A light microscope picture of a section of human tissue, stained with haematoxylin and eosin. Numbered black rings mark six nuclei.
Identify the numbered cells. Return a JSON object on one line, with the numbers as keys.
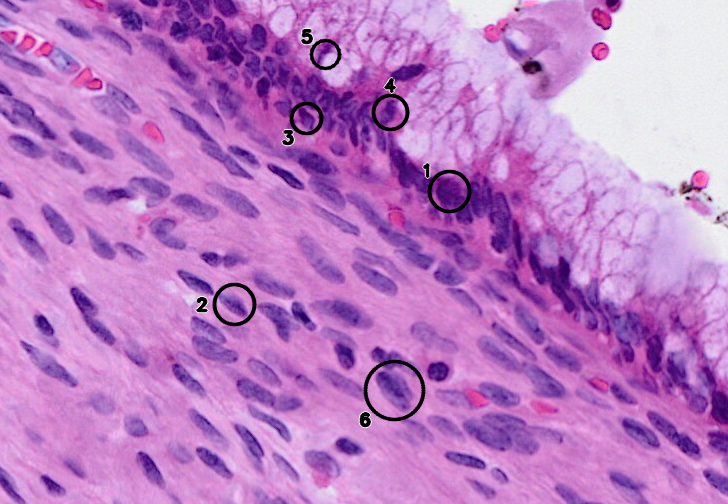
{"1": "secretory epithelial cell", "2": "fibroblast", "3": "secretory epithelial cell", "4": "secretory epithelial cell", "5": "secretory epithelial cell", "6": "fibroblast"}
